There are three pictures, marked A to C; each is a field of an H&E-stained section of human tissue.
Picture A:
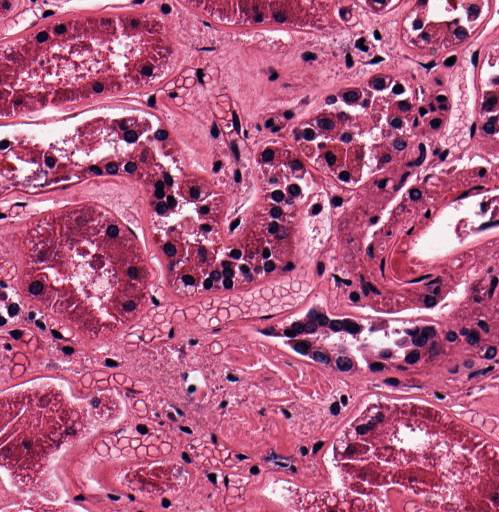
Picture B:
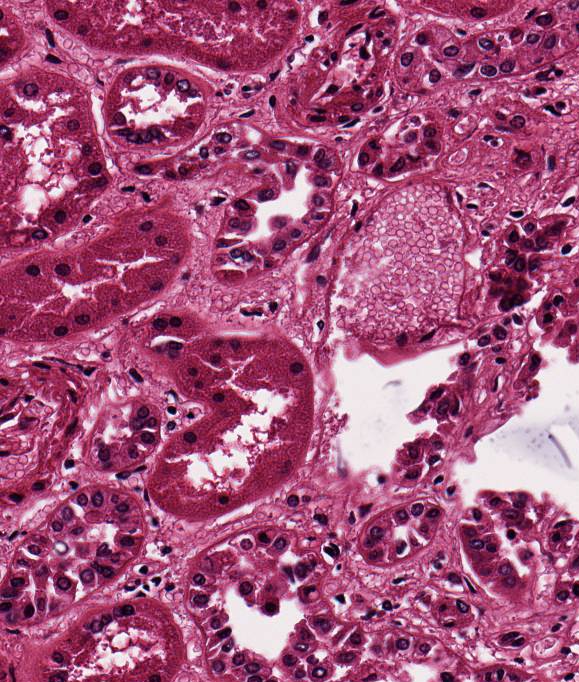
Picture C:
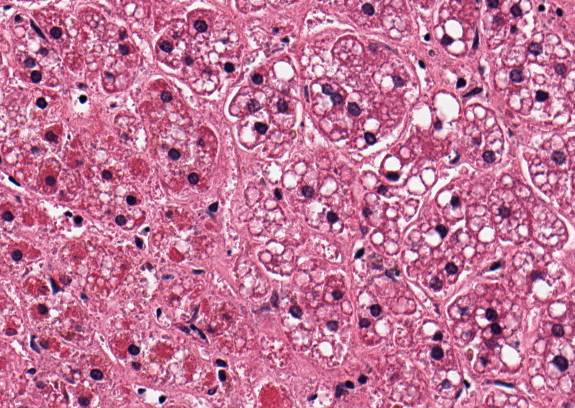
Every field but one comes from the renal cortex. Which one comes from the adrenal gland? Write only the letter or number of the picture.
C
